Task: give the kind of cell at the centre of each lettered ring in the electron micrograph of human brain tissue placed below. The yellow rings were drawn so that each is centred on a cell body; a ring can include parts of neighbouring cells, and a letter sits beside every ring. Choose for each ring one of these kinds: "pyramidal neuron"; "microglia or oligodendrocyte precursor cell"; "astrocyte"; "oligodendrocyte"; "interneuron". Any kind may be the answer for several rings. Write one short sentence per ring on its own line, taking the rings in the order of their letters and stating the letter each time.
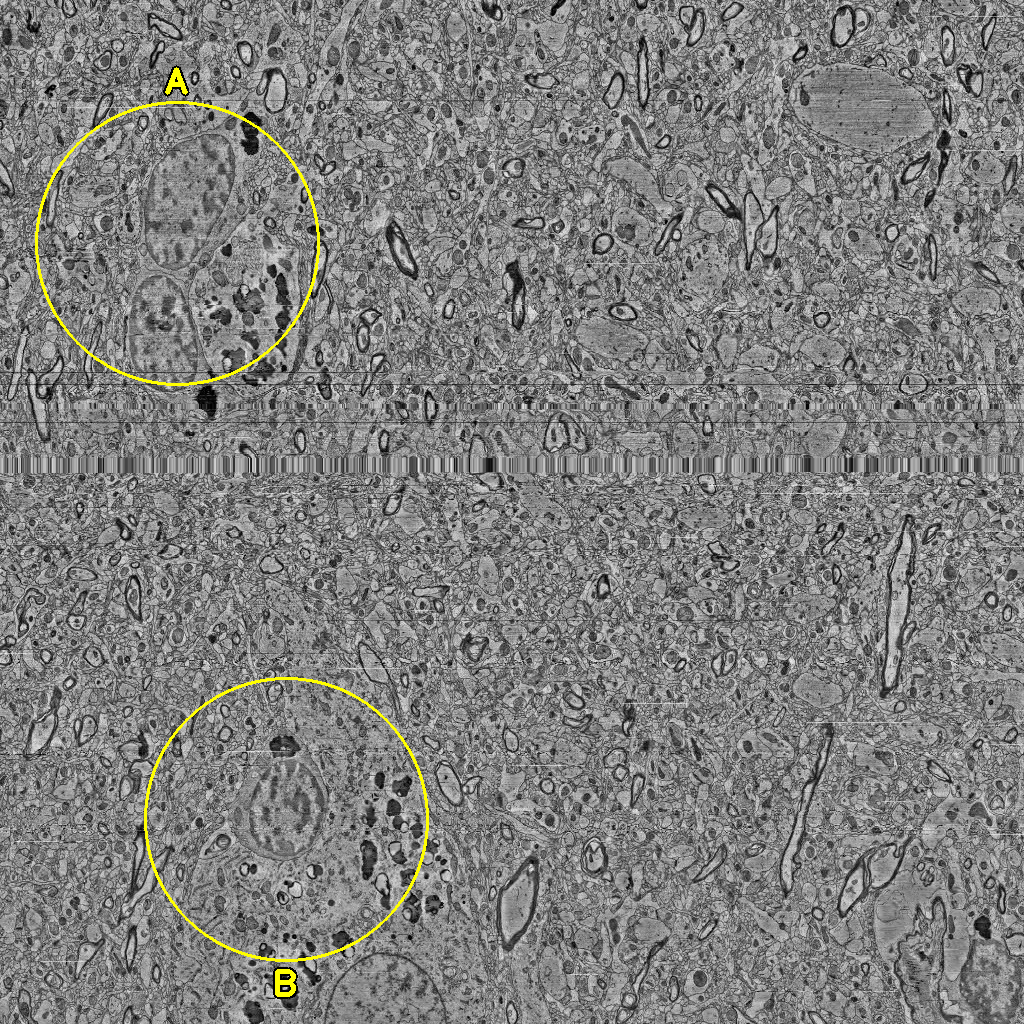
The yellow ring marked A surrounds an oligodendrocyte.
The yellow ring marked B surrounds an oligodendrocyte.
